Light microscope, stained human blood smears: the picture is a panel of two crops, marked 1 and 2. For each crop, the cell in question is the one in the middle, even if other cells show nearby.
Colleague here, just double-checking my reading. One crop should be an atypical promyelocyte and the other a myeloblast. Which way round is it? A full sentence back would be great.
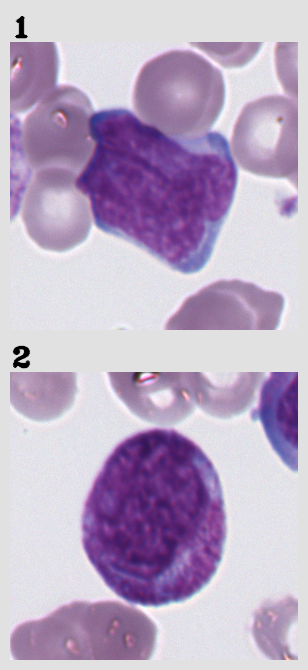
Within crop 1 sits a myeloblast, and within crop 2 sits an atypical promyelocyte.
